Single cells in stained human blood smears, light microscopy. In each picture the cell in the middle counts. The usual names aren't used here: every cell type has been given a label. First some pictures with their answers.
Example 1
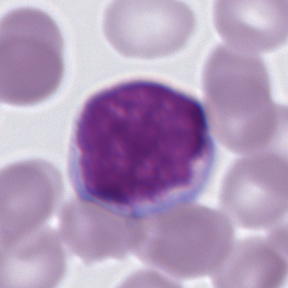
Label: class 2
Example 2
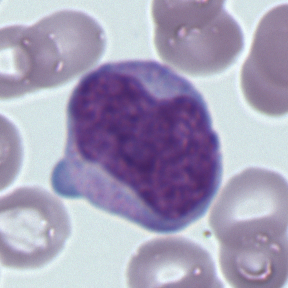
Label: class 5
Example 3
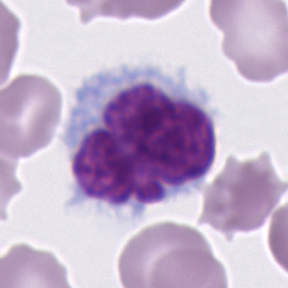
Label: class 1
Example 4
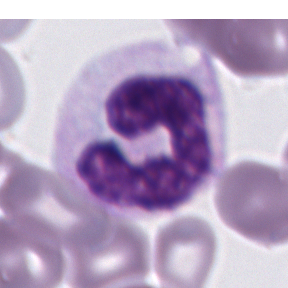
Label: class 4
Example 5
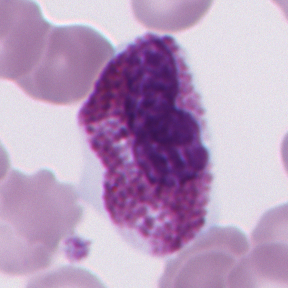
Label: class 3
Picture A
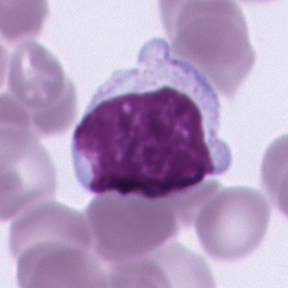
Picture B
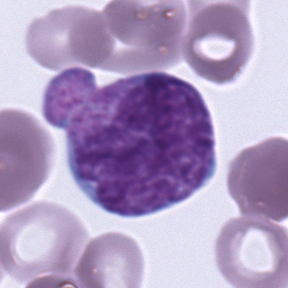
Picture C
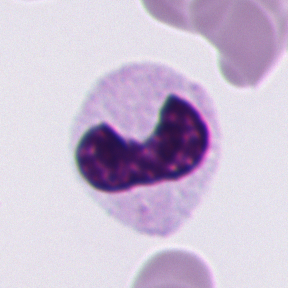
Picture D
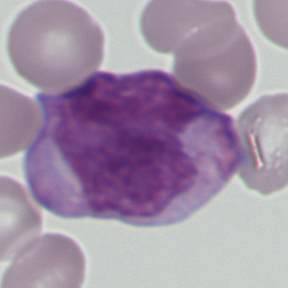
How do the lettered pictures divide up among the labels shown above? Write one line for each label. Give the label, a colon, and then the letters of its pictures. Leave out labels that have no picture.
class 2: A
class 5: B, D
class 4: C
